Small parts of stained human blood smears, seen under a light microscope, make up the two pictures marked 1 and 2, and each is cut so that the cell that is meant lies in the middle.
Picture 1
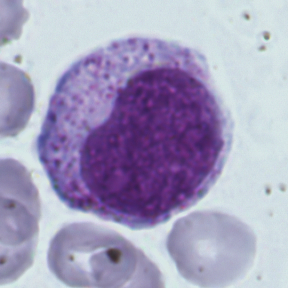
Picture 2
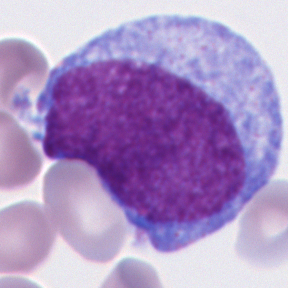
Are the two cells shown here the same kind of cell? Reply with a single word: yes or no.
yes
